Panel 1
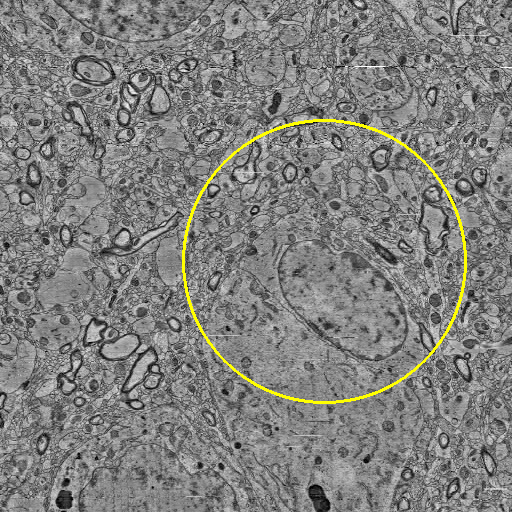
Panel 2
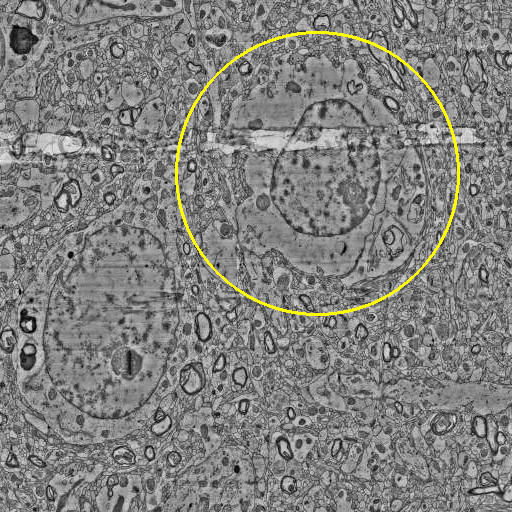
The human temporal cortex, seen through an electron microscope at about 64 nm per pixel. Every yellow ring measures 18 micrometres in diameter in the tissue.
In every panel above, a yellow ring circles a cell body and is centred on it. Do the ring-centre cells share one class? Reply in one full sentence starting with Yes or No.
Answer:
No, the two cells at the ring centres in the panels belong to two classes.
